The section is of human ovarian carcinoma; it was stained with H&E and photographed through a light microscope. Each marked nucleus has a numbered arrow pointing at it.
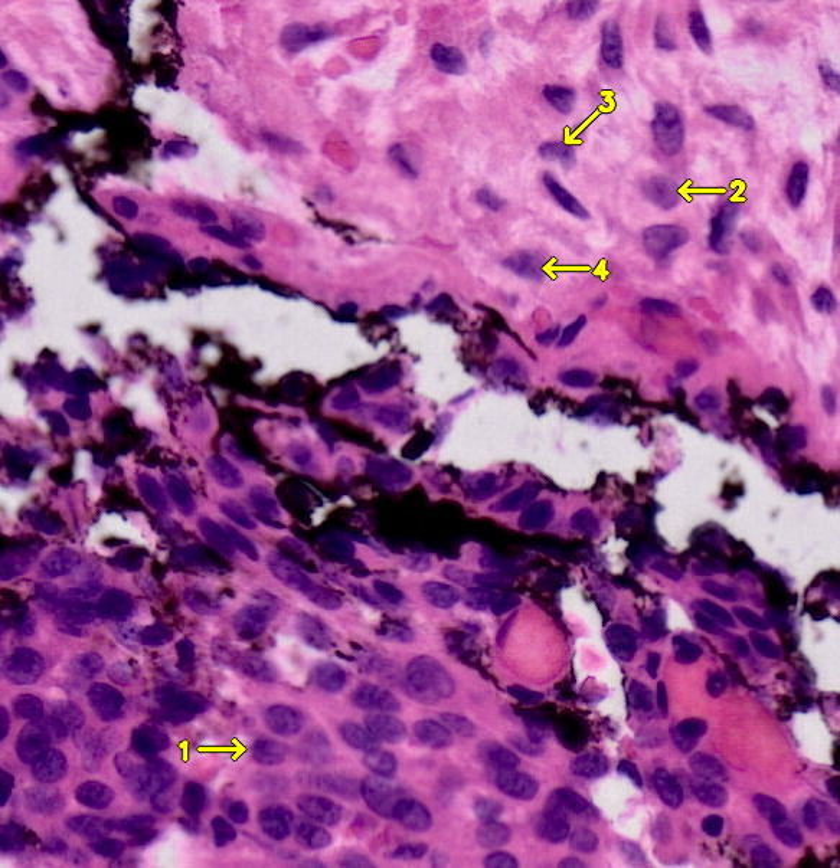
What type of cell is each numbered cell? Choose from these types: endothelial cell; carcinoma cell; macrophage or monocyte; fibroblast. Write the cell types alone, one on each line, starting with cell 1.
carcinoma cell
fibroblast
fibroblast
fibroblast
